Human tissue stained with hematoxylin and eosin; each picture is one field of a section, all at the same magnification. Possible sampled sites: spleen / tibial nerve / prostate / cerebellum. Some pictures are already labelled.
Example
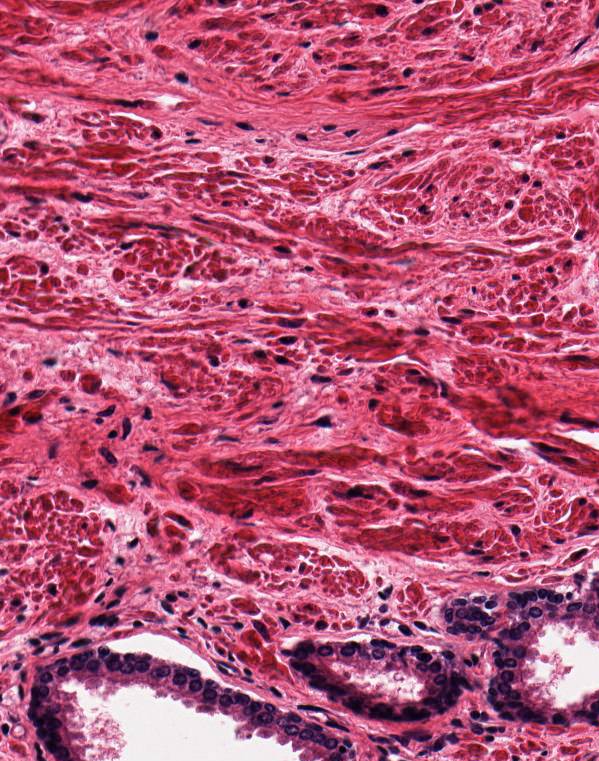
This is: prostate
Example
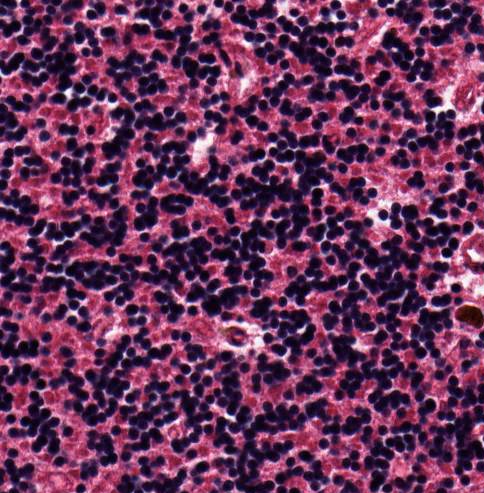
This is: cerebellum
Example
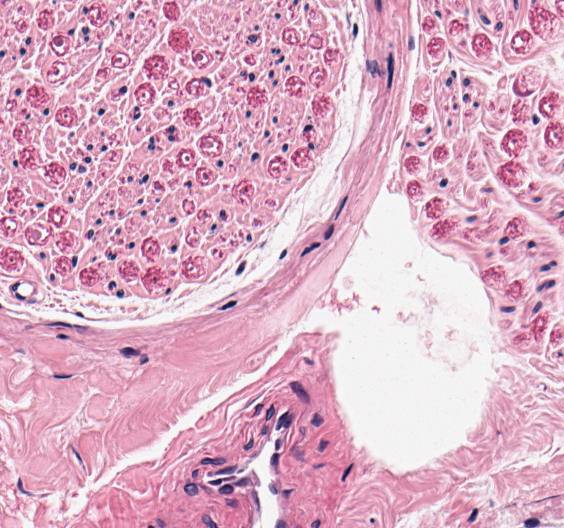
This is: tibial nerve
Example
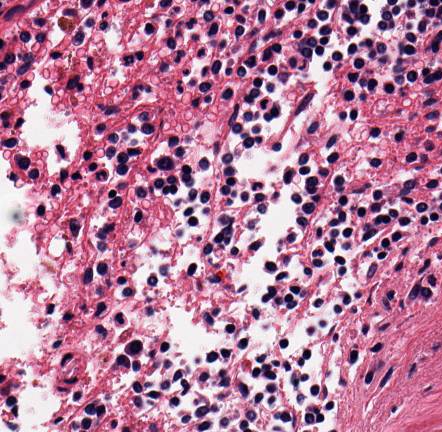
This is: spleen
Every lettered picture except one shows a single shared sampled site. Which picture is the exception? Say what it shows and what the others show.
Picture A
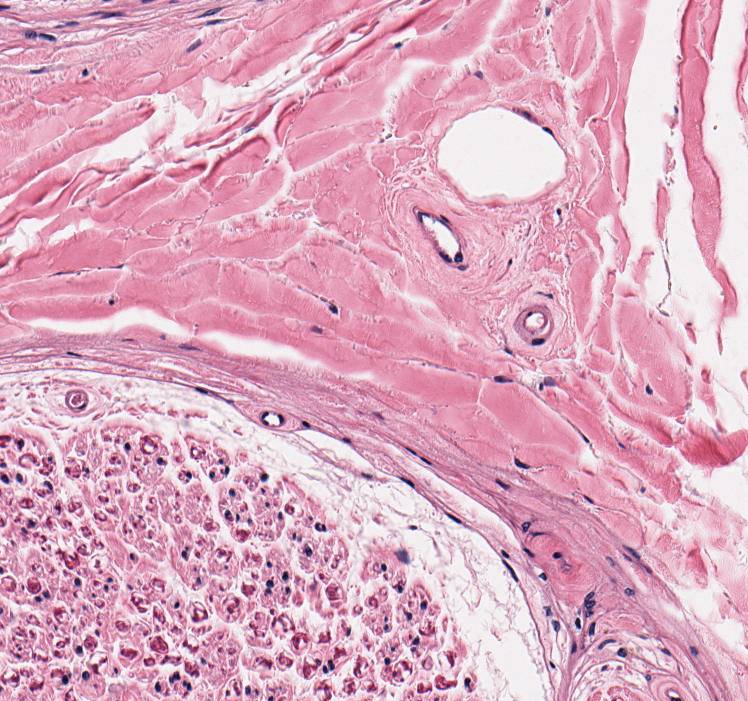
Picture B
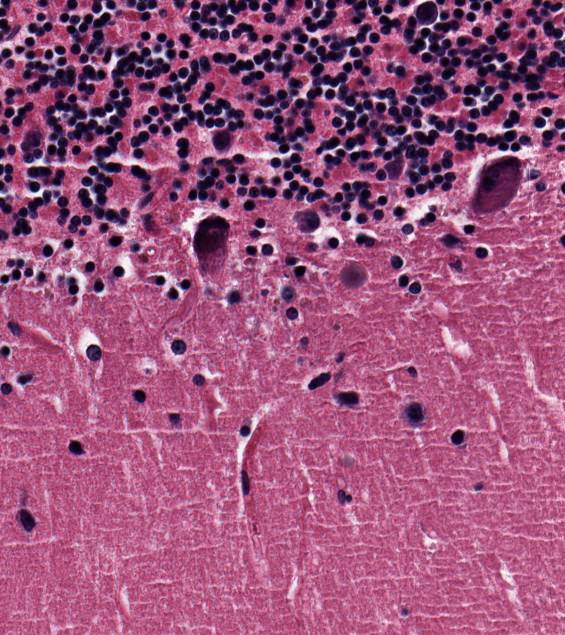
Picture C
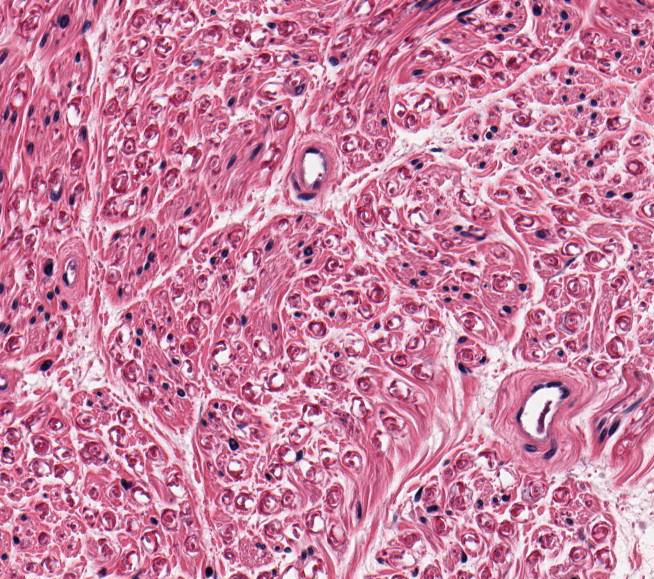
B differs and shows cerebellum; the others show tibial nerve.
